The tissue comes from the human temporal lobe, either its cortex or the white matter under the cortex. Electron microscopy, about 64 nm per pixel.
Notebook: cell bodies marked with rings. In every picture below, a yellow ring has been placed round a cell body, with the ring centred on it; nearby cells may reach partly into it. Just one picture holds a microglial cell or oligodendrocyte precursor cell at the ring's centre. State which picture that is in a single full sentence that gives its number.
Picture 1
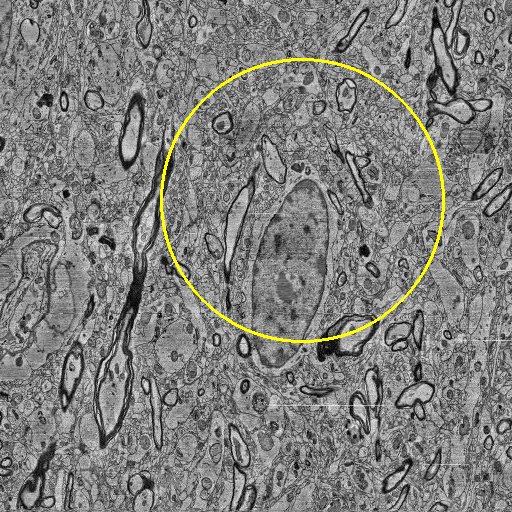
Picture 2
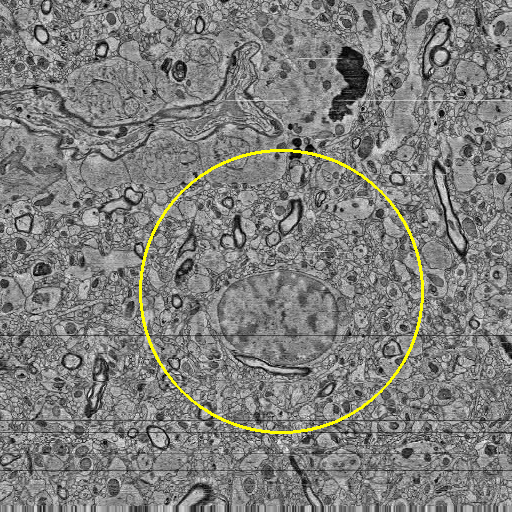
It is picture 1 whose ring has the wanted cell right at its centre.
